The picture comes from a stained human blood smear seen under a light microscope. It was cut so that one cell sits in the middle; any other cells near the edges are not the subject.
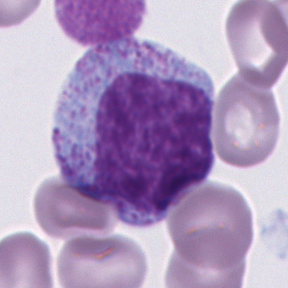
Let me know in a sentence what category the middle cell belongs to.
The cell in the exact centre of the crop is a promyelocyte.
